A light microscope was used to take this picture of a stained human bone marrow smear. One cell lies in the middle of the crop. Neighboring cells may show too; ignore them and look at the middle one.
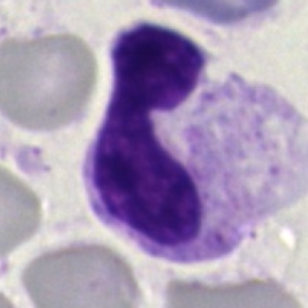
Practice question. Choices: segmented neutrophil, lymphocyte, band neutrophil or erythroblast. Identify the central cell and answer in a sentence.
This crop is built around a segmented neutrophil at its centre.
